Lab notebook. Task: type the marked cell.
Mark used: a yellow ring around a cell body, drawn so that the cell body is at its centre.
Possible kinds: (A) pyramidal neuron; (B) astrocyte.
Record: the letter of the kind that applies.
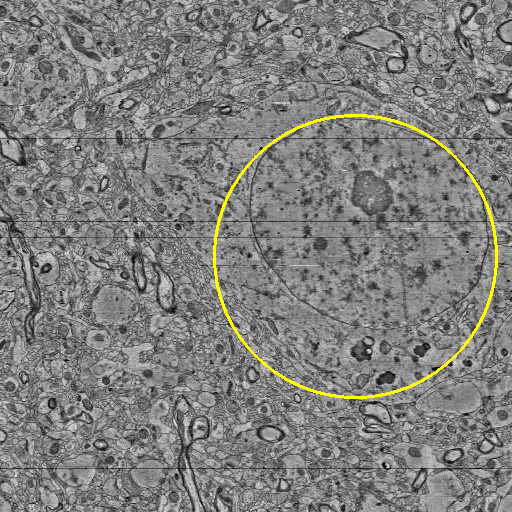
A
